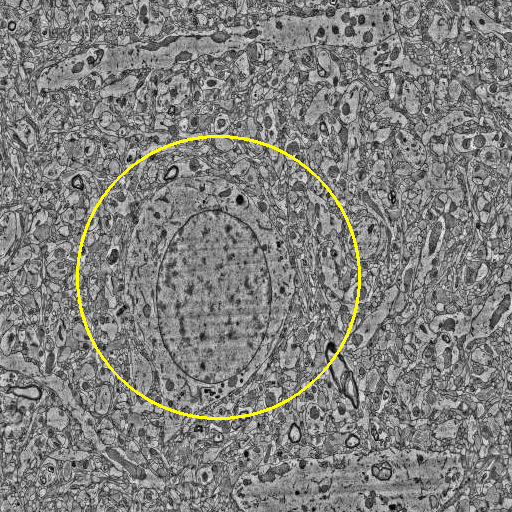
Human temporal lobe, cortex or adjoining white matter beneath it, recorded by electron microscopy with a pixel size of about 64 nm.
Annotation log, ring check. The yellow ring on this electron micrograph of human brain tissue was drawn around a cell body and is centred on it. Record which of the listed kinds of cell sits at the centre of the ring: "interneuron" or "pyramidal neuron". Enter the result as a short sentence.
The cell at the centre of the ring is a pyramidal neuron.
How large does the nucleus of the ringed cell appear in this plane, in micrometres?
The nucleus works out at approximately 11 by 8 micrometres in this plane.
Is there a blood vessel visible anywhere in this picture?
No.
